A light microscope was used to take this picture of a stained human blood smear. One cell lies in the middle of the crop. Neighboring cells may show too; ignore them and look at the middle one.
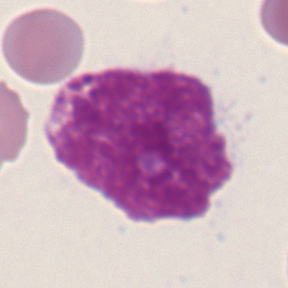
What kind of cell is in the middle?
smudge cell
